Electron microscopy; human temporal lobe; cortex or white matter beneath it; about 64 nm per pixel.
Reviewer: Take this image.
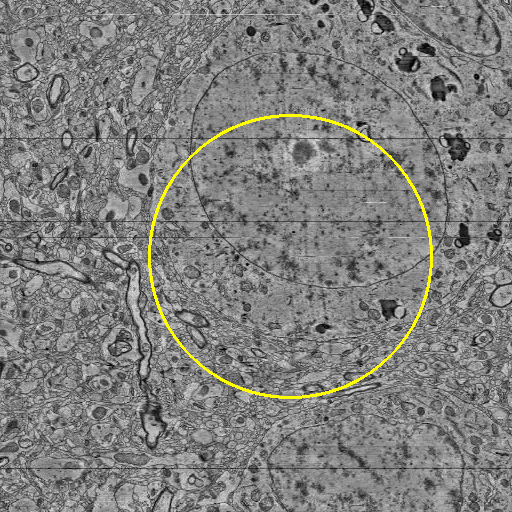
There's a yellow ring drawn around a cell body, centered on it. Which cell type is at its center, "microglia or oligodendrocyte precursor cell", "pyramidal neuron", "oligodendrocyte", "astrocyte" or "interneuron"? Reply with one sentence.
At the center of the yellow ring is a pyramidal neuron.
